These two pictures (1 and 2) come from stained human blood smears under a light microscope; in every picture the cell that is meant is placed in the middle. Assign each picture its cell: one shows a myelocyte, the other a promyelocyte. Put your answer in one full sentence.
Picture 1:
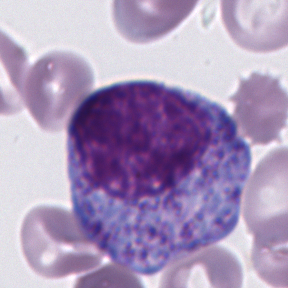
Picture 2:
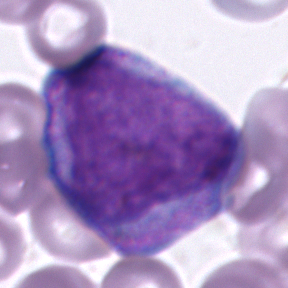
Picture 1 shows a myelocyte and picture 2 shows a promyelocyte.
